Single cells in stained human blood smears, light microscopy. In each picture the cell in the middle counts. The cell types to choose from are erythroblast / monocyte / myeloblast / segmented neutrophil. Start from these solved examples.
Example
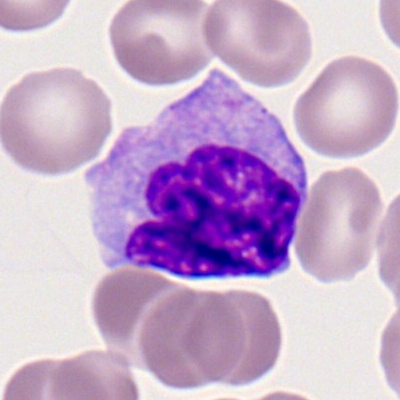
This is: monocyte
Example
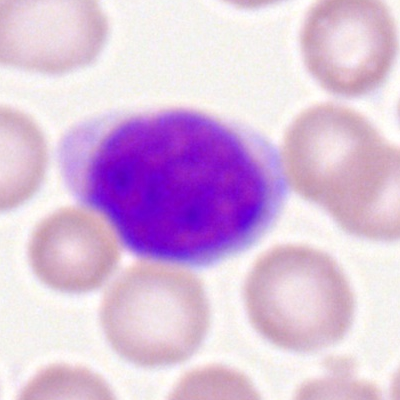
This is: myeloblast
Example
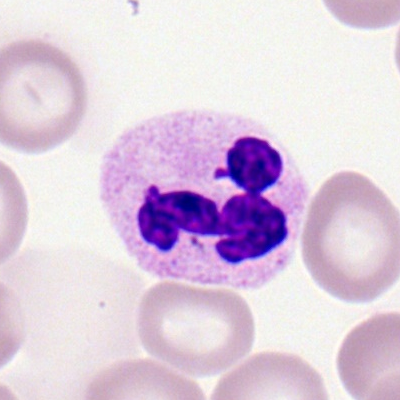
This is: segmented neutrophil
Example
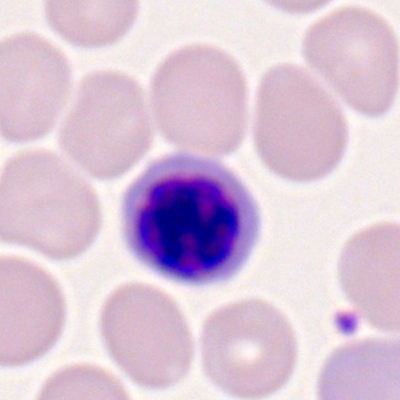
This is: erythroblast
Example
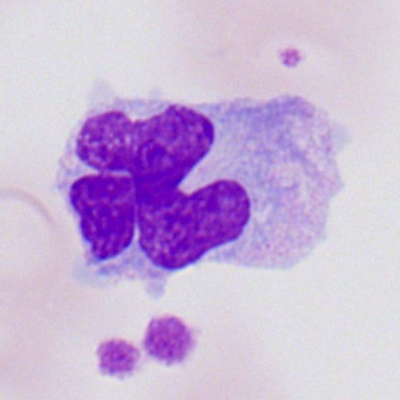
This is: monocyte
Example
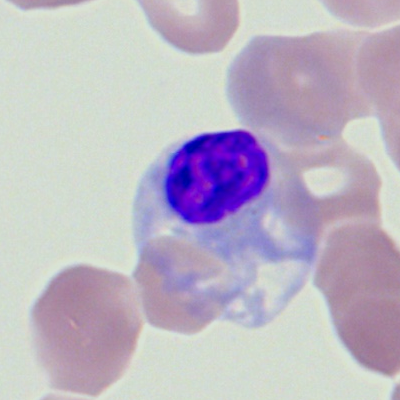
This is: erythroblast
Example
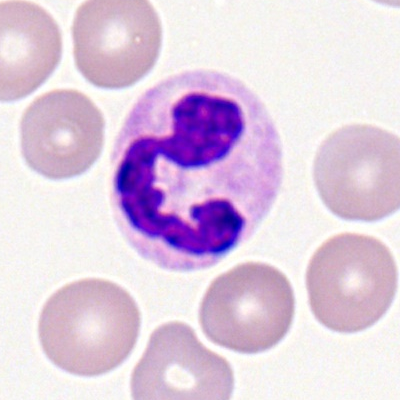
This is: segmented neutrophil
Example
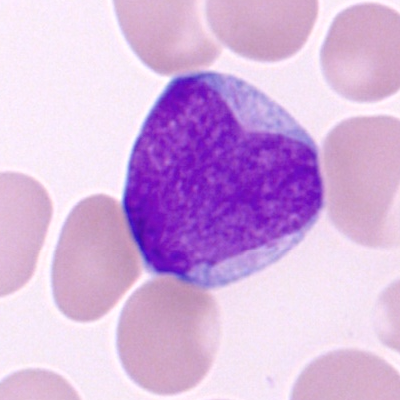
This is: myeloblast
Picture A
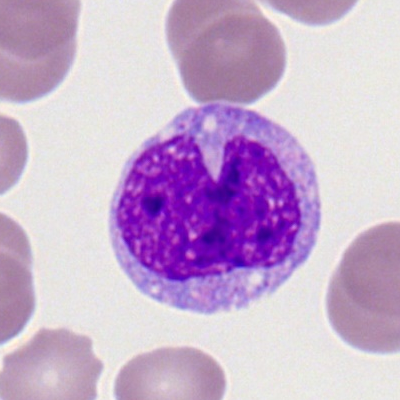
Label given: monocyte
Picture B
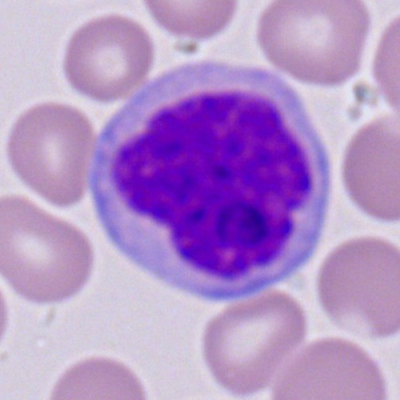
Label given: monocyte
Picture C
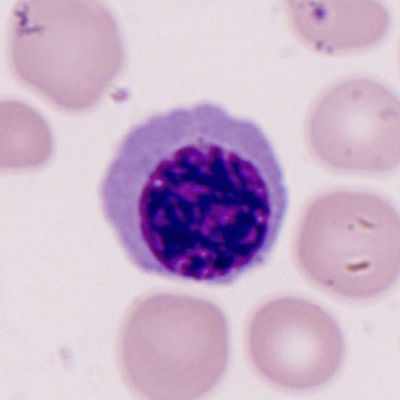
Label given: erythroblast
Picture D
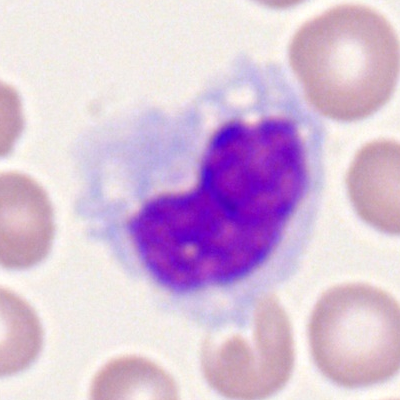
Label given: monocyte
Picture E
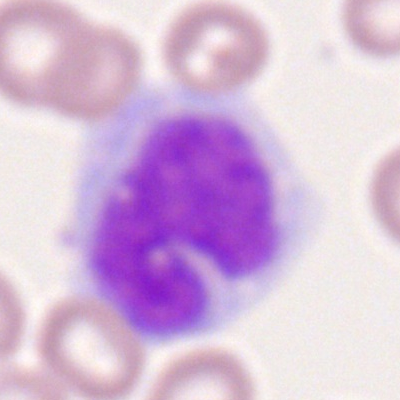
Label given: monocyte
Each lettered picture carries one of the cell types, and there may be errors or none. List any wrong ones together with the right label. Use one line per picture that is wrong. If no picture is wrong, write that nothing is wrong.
All correct.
